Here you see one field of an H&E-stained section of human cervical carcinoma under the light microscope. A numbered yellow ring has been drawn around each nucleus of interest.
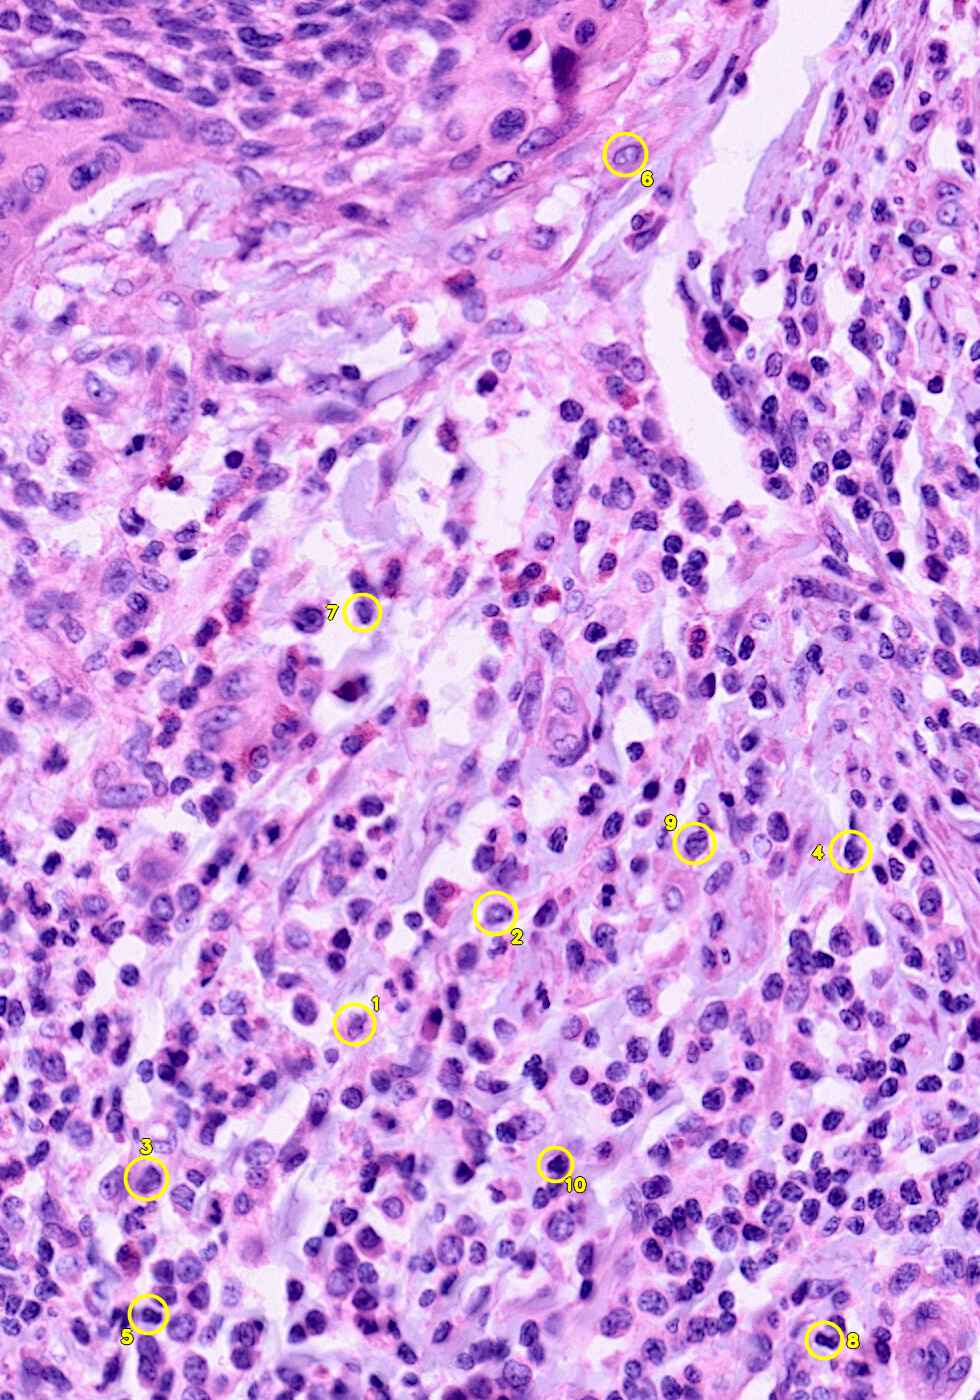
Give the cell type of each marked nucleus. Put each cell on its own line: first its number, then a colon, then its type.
1: macrophage or monocyte
2: macrophage or monocyte
3: macrophage or monocyte
4: lymphocyte
5: lymphocyte
6: endothelial cell
7: lymphocyte
8: lymphocyte
9: lymphocyte
10: lymphocyte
